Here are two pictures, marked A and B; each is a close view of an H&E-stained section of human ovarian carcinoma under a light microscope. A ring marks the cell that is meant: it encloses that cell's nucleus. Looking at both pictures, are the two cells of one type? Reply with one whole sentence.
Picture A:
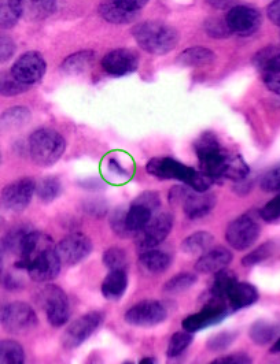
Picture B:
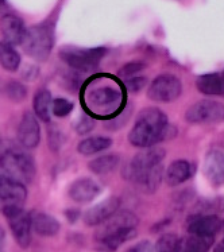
No, the types are not the same, since picture A shows a “macrophage or monocyte” and picture B a carcinoma cell.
